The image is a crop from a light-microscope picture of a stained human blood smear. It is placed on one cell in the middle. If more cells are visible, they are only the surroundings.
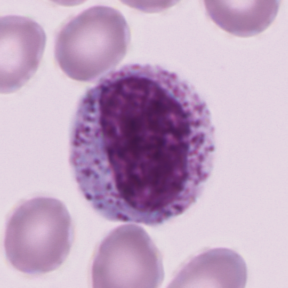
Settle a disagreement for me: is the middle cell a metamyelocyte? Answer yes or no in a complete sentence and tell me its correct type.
Yes, the cell in the middle of the crop is a metamyelocyte.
